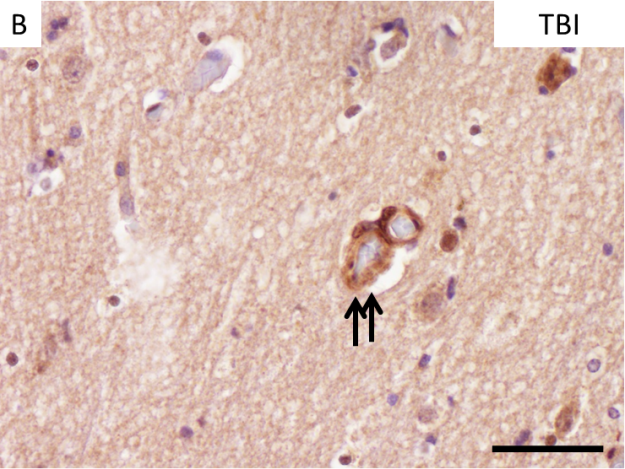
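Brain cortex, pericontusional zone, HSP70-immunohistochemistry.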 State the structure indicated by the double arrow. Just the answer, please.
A: Vessel walls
